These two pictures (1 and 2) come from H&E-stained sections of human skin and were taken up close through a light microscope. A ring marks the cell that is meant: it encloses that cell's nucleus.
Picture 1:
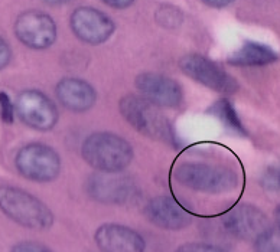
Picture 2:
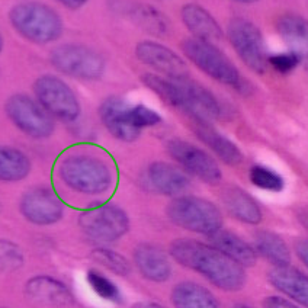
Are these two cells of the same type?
no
